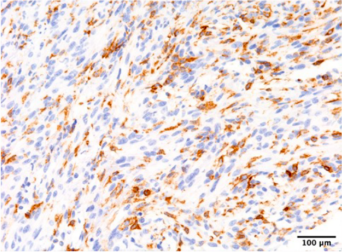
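Tumor tissue of spindle-shaped cells with oval to elongated blue nuclei arranged in loose streams. Many interspersed cells with brown-stained cytoplasm, often elongated or irregular in outline, are scattered densely among the tumor cells.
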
